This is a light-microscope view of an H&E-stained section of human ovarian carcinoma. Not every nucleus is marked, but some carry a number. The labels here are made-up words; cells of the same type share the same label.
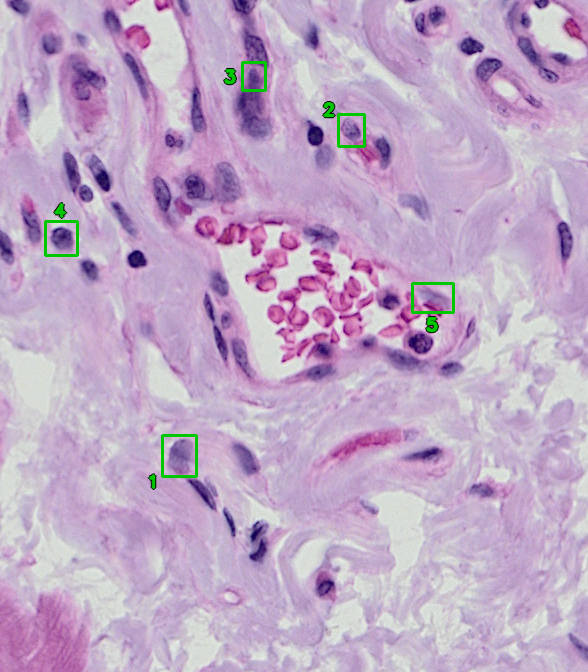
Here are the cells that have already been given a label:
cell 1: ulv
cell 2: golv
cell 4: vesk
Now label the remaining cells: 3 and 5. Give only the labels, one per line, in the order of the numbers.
golv
golv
